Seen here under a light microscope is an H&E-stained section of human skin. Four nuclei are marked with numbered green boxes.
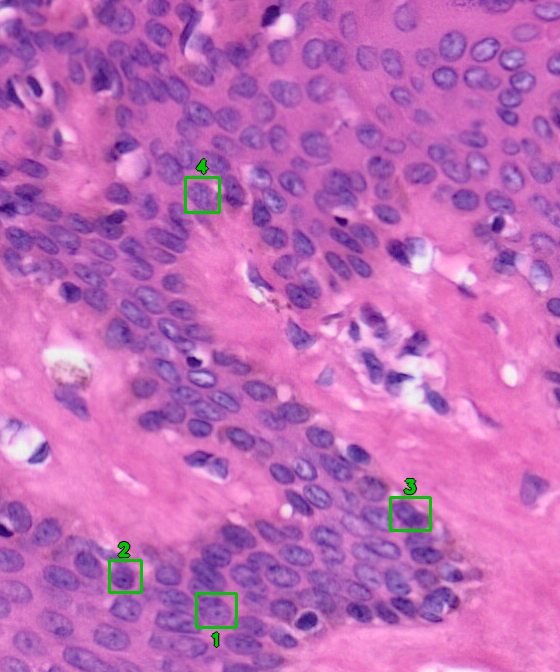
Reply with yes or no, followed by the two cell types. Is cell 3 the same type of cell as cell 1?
No, the cell at number 3 is a basal keratinocyte, and the cell at number 1 is a suprabasal keratinocyte.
